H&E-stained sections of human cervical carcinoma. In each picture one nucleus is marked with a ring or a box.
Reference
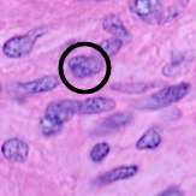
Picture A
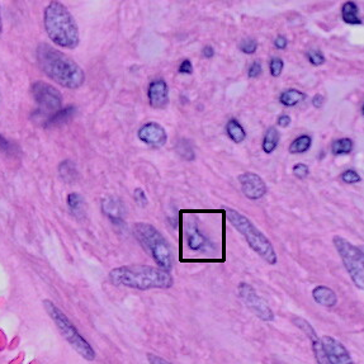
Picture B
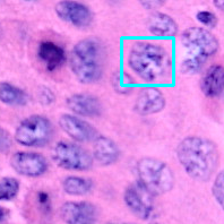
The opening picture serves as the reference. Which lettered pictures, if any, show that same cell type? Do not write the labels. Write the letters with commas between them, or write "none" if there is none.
A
